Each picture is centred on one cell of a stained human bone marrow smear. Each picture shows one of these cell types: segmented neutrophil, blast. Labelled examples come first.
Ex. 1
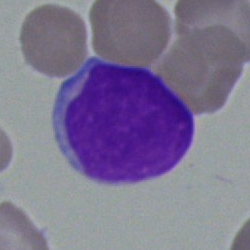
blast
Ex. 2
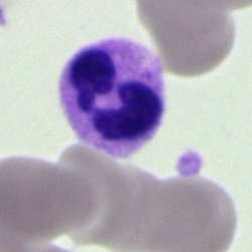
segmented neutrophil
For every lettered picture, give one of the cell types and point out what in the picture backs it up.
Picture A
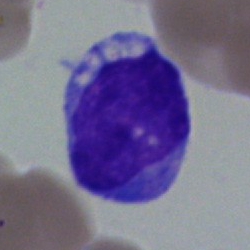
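Answer: blast. The cytoplasm is scant, forming only a narrow rim around the nucleus.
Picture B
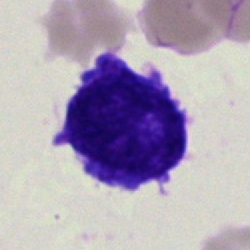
Answer: blast. The cytoplasm is very scant, only a thin dark blue-purple rim around the nucleus.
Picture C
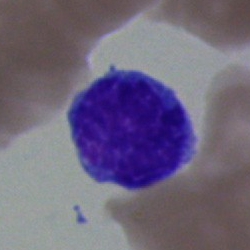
Answer: blast. The cytoplasm is very scant, showing only as a thin blue rim at the edge.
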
